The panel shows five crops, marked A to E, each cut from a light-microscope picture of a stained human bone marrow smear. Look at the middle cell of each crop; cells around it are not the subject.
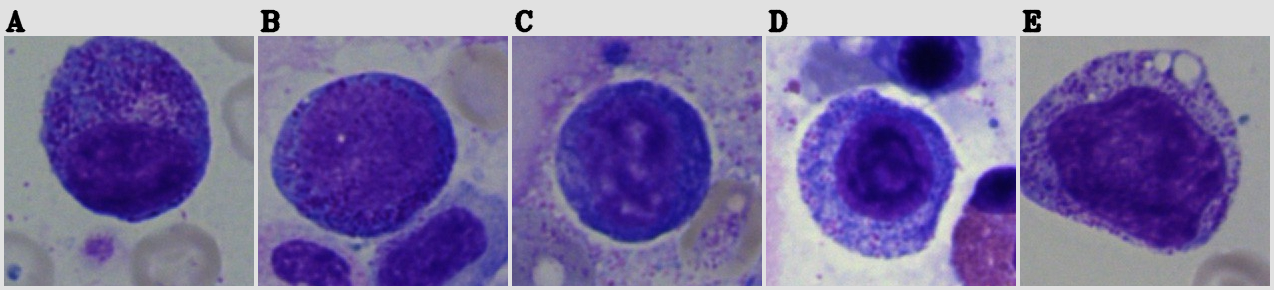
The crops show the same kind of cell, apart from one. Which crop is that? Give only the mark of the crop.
E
